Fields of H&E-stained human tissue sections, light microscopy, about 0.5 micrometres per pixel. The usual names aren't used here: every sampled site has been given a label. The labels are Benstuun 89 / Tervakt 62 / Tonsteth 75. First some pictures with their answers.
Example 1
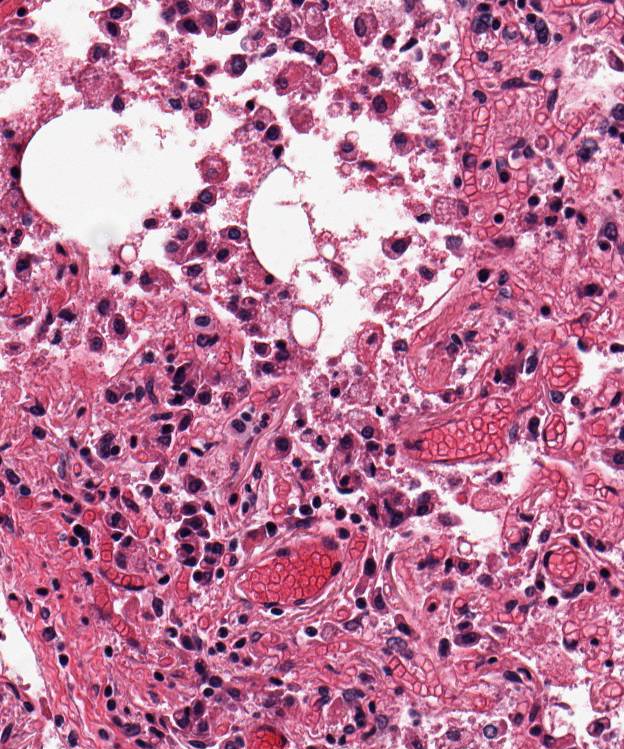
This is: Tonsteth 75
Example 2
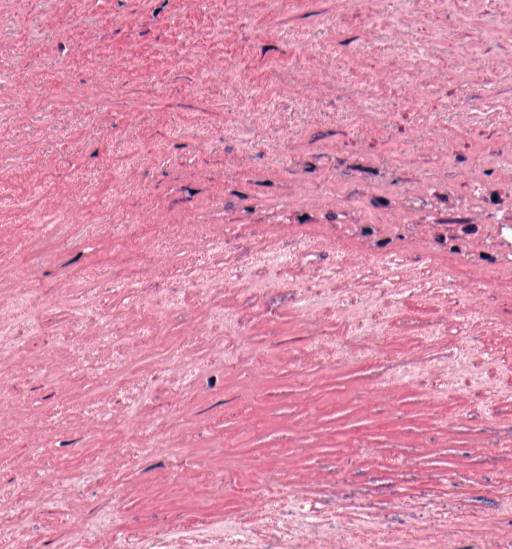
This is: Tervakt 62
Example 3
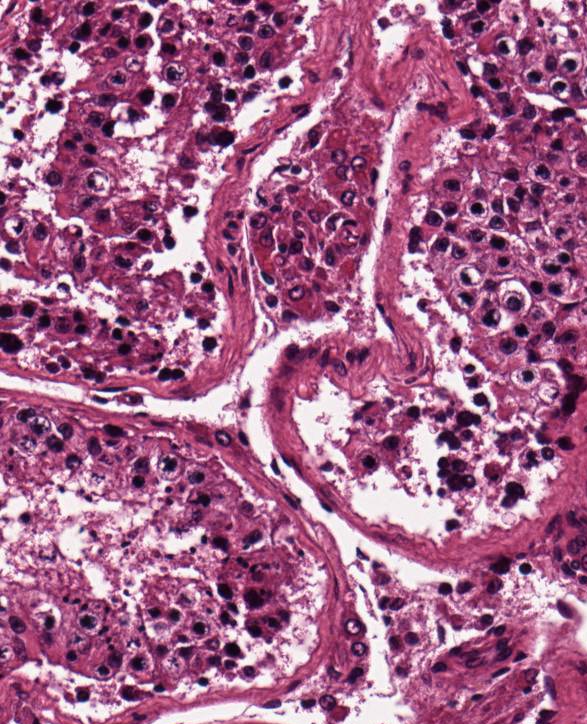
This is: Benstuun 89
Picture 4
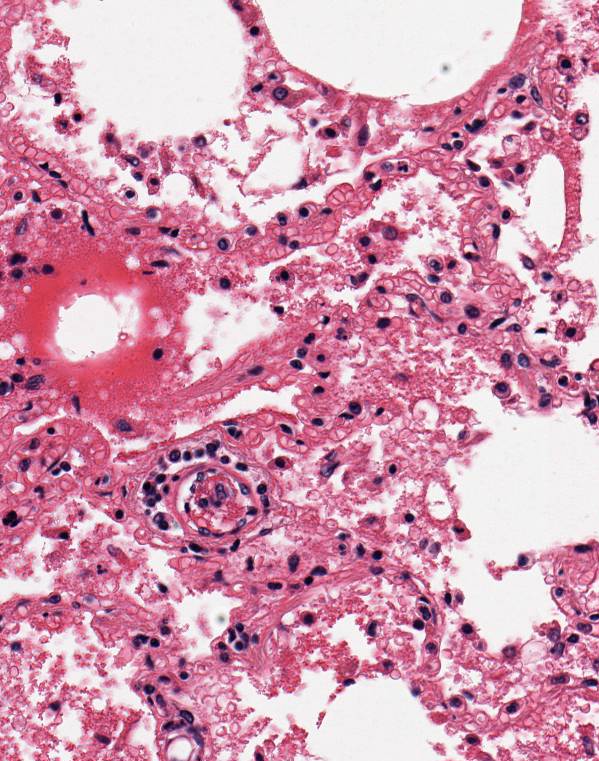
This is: Tonsteth 75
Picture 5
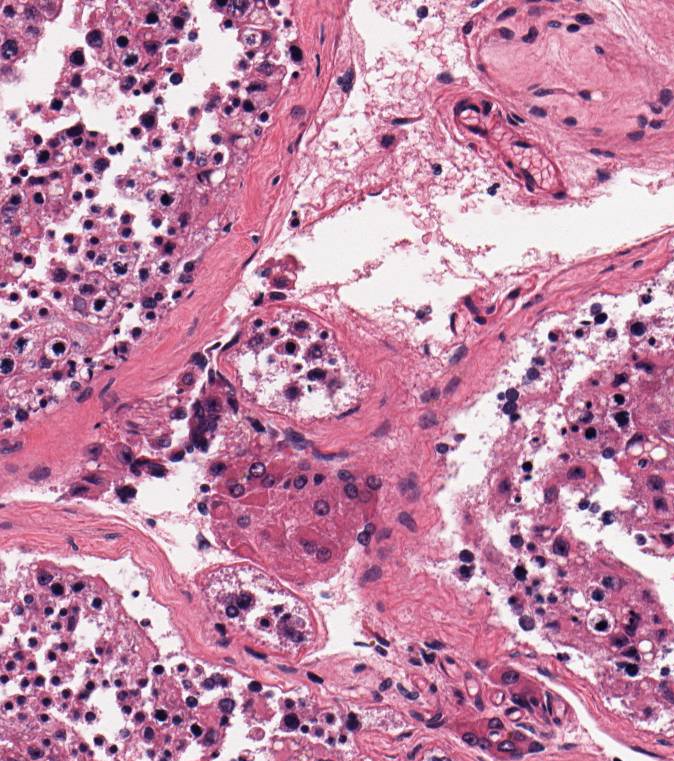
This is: Benstuun 89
